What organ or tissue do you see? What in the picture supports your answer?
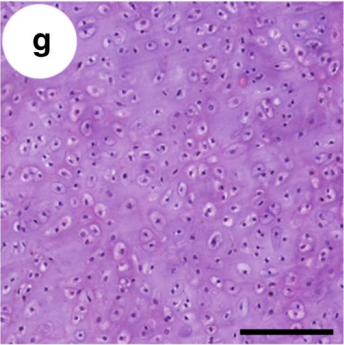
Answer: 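Rounded cells sit singly or in pairs within clear lacunae. Cells are spread evenly through a homogeneous purple matrix. So: typical cartilage structure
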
